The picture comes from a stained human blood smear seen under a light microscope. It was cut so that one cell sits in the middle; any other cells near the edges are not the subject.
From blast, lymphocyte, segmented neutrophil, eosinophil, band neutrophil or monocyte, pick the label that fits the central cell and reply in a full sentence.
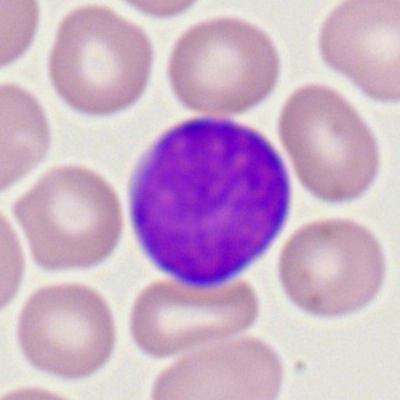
This crop has a blast at its centre.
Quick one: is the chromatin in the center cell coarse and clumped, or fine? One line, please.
You can see that its chromatin is coarsely clumped.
